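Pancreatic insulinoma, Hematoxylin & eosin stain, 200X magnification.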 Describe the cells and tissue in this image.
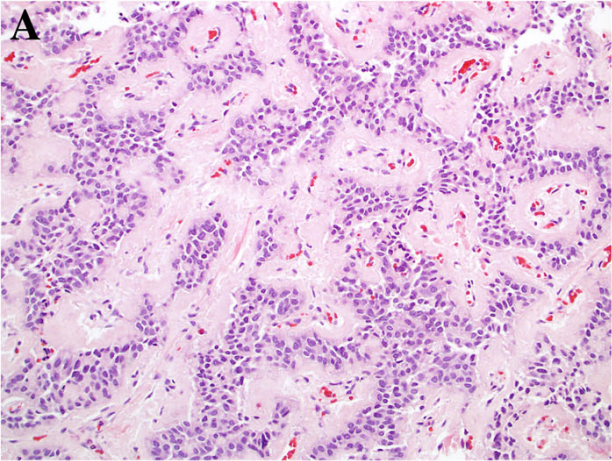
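Tumor cells are arranged in anastomosing cords and trabeculae, with monotonous round to oval nuclei and scant pale pink to lilac cytoplasm. The cords are separated by broad bands of homogeneous pink acellular material. Many of these bands surround small vessels filled with red blood cells. Nuclear size is uniform without marked atypia.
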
